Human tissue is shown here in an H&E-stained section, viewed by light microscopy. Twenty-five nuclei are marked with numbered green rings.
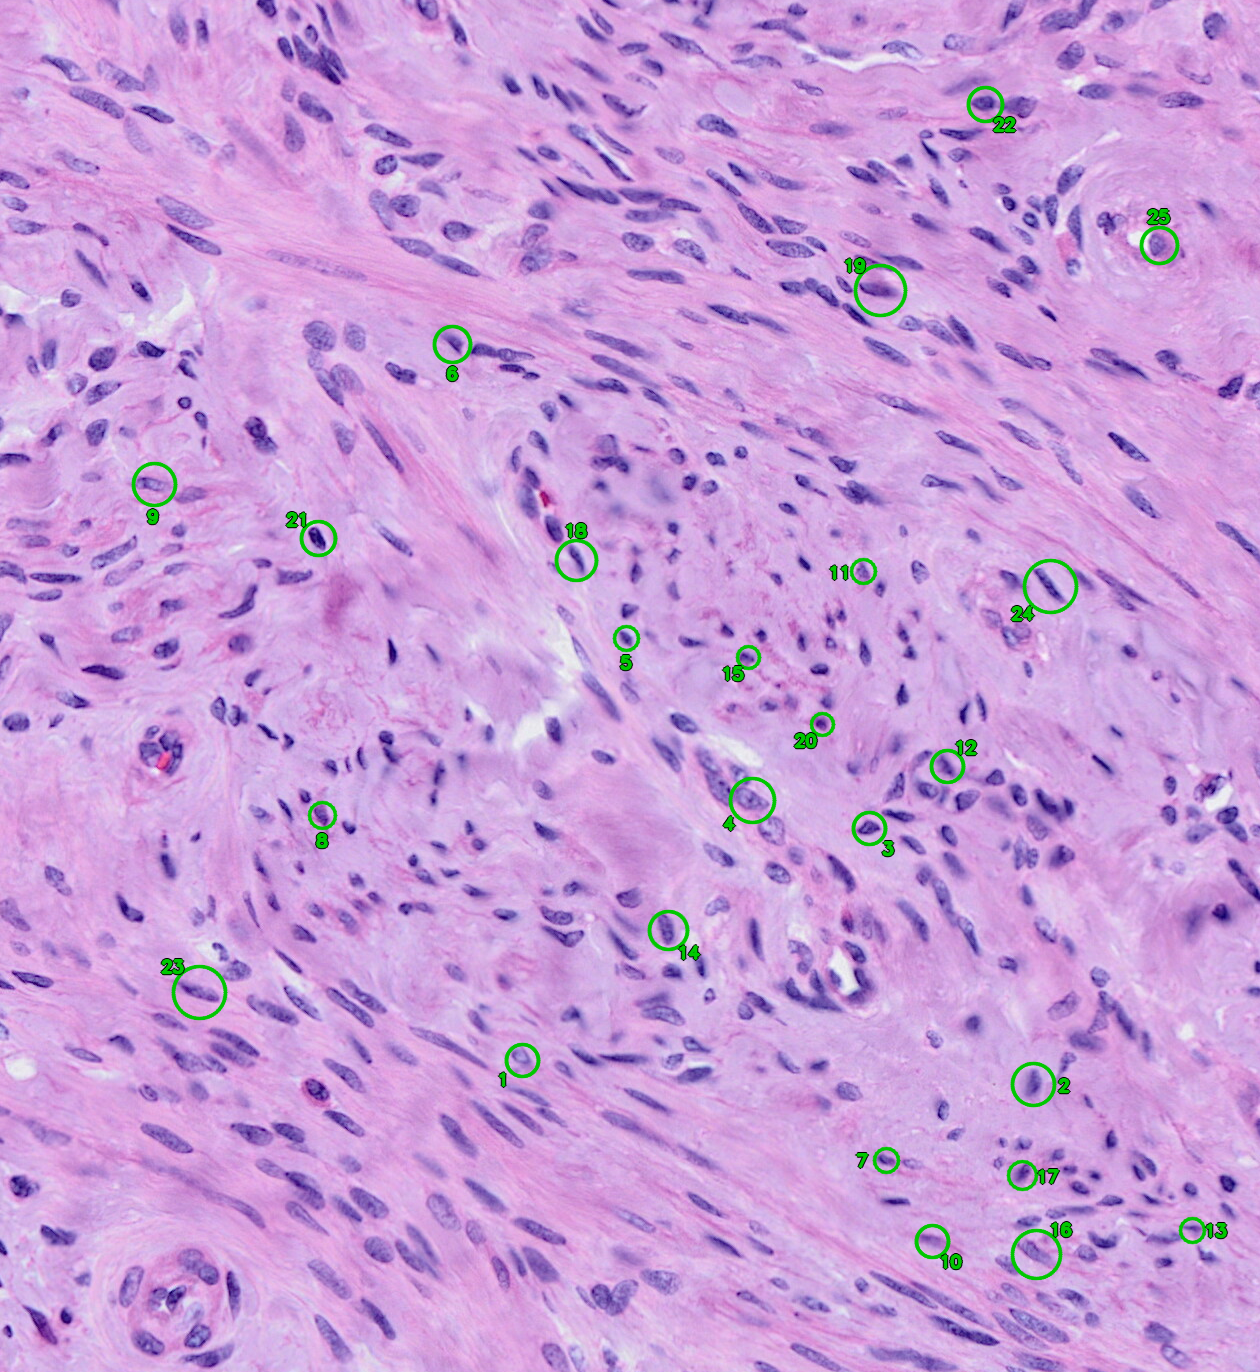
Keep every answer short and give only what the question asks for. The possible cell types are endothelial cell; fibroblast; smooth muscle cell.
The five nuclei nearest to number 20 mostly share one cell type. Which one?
fibroblast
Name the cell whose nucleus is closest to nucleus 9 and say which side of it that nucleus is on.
a smooth muscle cell; to the right of nucleus 9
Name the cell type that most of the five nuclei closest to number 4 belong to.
endothelial cell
